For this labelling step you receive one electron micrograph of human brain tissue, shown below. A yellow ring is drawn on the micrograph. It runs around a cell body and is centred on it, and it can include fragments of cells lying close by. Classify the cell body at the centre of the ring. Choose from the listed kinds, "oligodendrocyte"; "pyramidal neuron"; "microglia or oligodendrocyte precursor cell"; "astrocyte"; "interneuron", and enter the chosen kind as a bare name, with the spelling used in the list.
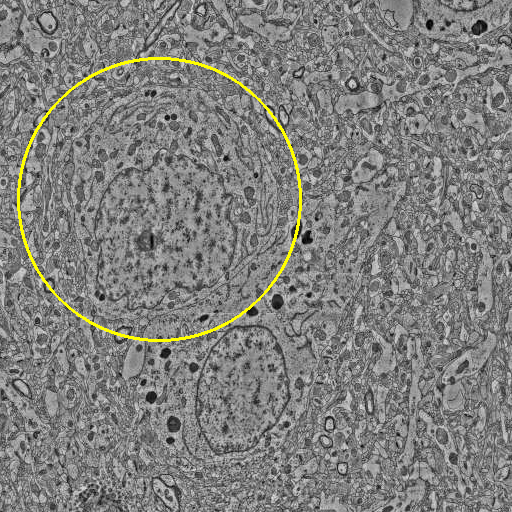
interneuron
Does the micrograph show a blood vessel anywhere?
No, there is no blood vessel in the image.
